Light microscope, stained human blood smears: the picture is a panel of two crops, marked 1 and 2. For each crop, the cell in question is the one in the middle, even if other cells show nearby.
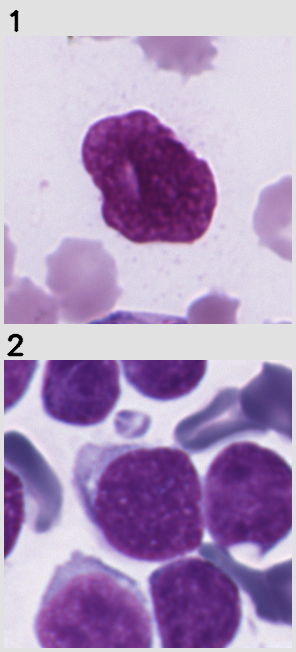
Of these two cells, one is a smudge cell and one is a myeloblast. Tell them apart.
1: smudge cell
2: myeloblast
